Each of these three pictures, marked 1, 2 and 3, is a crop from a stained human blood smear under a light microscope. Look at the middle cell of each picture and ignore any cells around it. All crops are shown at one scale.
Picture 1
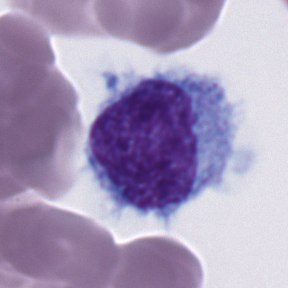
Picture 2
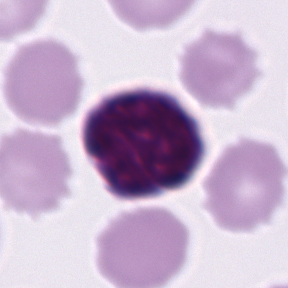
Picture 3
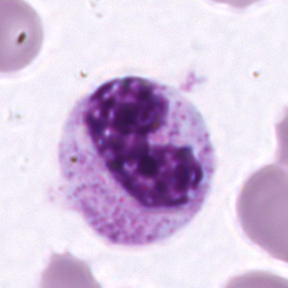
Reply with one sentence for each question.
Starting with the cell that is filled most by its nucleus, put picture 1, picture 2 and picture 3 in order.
The most filled comes first: 2, 1, 3.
